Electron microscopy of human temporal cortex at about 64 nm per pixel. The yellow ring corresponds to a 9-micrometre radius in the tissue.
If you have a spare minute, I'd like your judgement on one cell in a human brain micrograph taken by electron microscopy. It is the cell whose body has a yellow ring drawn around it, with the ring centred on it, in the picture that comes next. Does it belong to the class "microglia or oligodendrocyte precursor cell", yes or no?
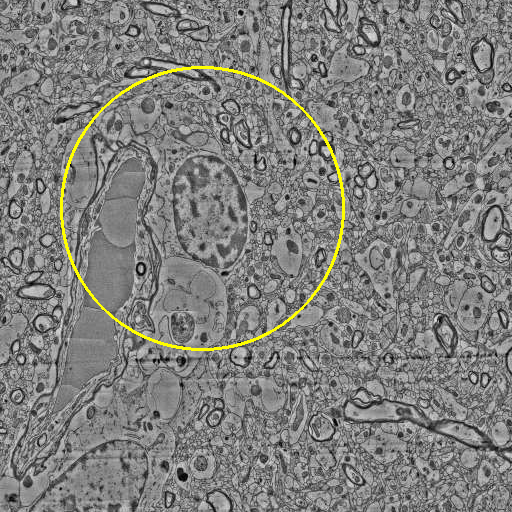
Yes, it belongs to that class.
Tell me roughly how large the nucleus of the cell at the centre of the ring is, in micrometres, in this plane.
In this plane the nucleus is roughly 7 by 5 micrometres, clearly longer than it is wide.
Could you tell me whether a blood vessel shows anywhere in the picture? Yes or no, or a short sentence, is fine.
Yes, there is one.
